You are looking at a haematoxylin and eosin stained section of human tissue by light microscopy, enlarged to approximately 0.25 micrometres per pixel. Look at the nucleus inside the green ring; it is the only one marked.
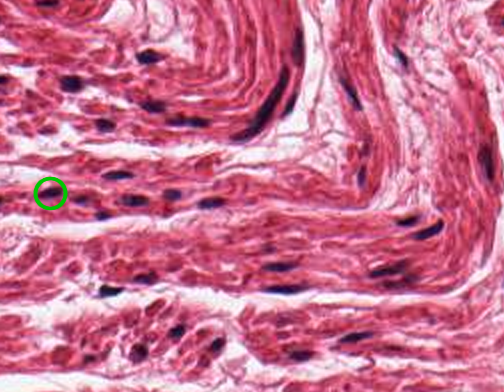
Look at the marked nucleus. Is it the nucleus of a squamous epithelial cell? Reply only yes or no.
no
